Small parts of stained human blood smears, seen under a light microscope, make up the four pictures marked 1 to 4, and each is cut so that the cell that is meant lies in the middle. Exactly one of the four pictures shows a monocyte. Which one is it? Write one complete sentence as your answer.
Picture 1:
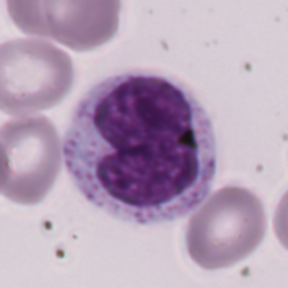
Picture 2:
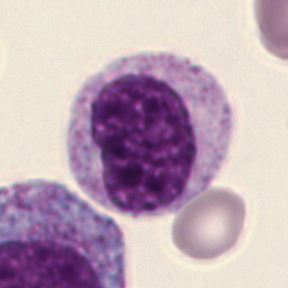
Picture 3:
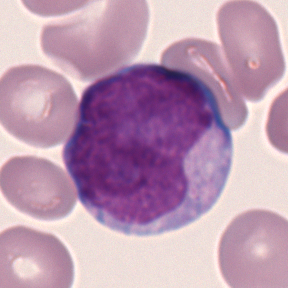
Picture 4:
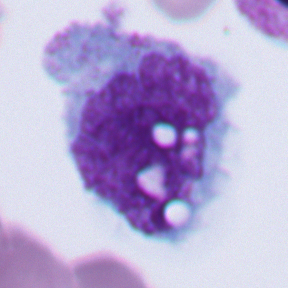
The picture with the monocyte is 4.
